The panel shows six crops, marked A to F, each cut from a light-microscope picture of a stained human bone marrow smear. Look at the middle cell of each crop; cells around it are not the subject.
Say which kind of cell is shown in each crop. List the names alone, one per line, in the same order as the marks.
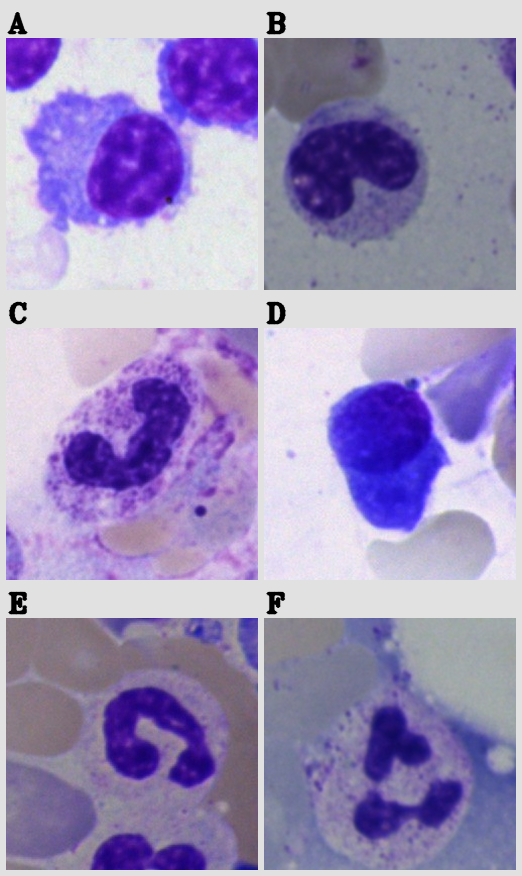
plasma cell
band neutrophil
segmented neutrophil
plasma cell
segmented neutrophil
segmented neutrophil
